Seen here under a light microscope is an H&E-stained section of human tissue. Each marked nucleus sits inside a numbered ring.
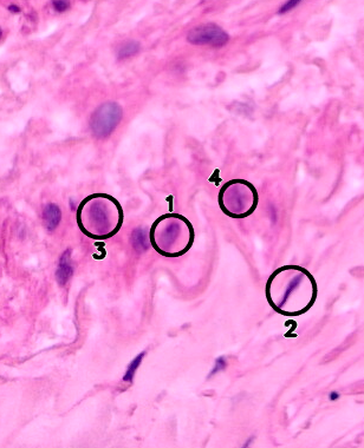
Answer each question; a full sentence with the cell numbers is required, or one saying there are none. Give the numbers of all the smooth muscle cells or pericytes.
The cells numbered 1, 3 and 4 are typed as smooth muscle cells or pericytes.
